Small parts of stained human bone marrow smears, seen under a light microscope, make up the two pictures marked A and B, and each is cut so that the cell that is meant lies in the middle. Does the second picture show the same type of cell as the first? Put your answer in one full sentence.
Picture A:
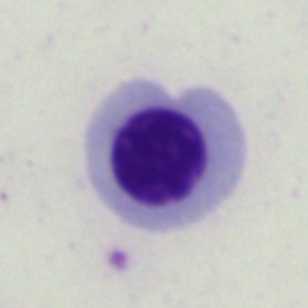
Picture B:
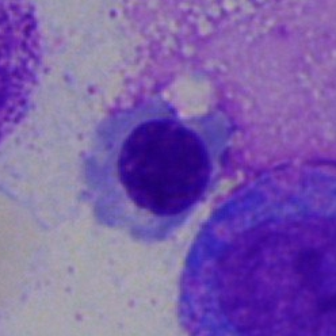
Yes, the two pictures both show erythroblasts.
